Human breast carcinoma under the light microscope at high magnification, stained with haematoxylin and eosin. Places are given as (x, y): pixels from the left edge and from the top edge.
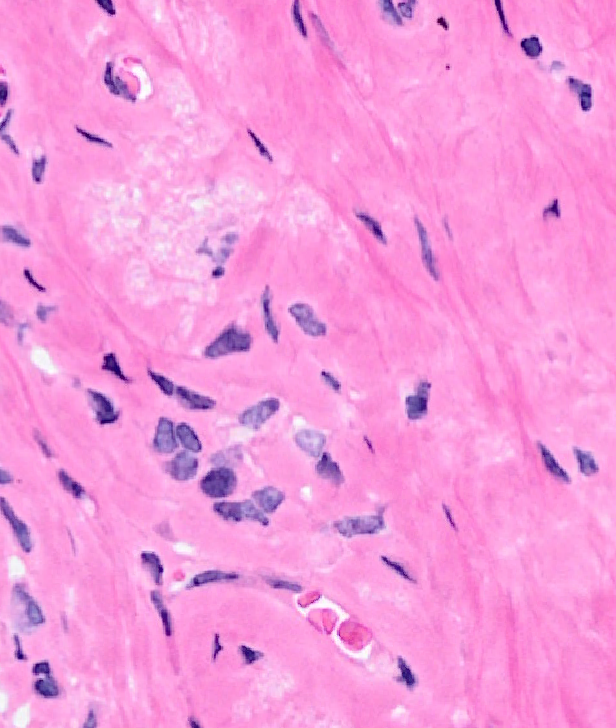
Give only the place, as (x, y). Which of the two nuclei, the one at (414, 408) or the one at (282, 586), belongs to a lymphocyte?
(414, 408)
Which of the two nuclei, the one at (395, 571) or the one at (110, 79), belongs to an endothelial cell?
(110, 79)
